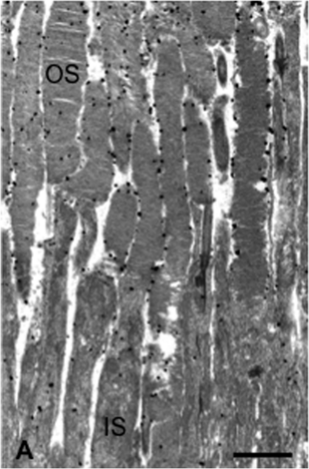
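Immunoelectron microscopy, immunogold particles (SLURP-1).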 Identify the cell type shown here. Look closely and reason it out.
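Photoreceptors. Many long, narrow, parallel segments are packed side by side. The segments show fine transverse striation. The segments differ in texture from top to bottom.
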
